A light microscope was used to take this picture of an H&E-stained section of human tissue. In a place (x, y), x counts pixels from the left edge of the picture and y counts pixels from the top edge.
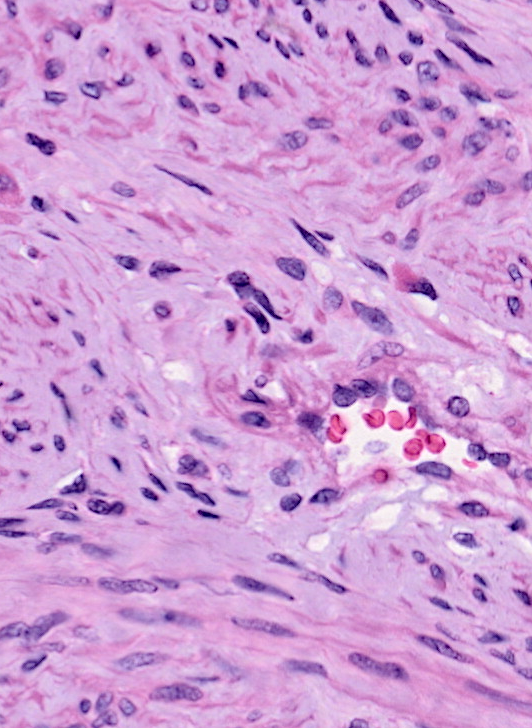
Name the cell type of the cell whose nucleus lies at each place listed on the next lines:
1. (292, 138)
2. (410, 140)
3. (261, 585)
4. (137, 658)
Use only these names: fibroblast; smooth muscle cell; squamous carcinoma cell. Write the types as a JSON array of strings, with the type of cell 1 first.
["smooth muscle cell", "smooth muscle cell", "fibroblast", "smooth muscle cell"]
